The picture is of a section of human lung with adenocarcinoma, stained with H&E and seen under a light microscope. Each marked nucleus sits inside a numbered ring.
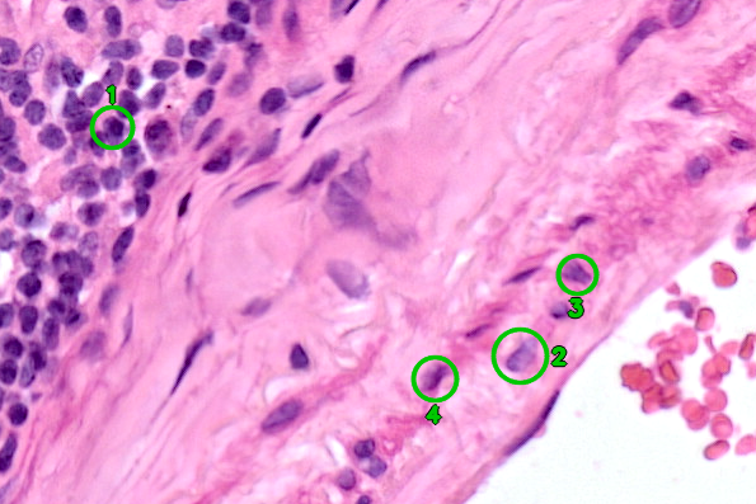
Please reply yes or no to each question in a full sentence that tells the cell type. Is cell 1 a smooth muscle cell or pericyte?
No, the cell that carries number 1 is a lymphocyte, not a smooth muscle cell or pericyte.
